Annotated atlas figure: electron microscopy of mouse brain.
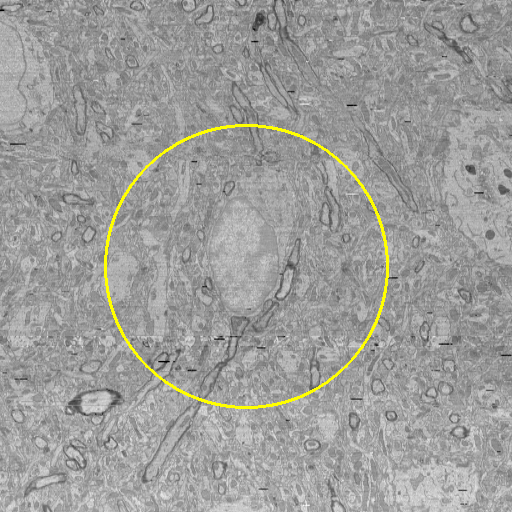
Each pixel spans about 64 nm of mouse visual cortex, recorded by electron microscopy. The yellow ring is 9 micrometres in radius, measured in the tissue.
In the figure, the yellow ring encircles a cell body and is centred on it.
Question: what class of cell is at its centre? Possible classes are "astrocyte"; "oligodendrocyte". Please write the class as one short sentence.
The yellow ring is drawn around an oligodendrocyte.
